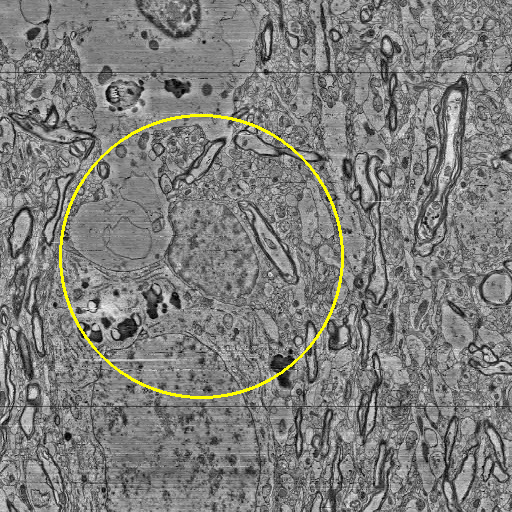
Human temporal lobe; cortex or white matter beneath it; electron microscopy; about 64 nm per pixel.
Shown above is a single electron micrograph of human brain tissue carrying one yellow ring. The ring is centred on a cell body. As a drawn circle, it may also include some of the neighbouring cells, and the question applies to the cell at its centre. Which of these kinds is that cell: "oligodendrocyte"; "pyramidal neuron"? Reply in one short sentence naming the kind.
The cell marked by the ring is an oligodendrocyte.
